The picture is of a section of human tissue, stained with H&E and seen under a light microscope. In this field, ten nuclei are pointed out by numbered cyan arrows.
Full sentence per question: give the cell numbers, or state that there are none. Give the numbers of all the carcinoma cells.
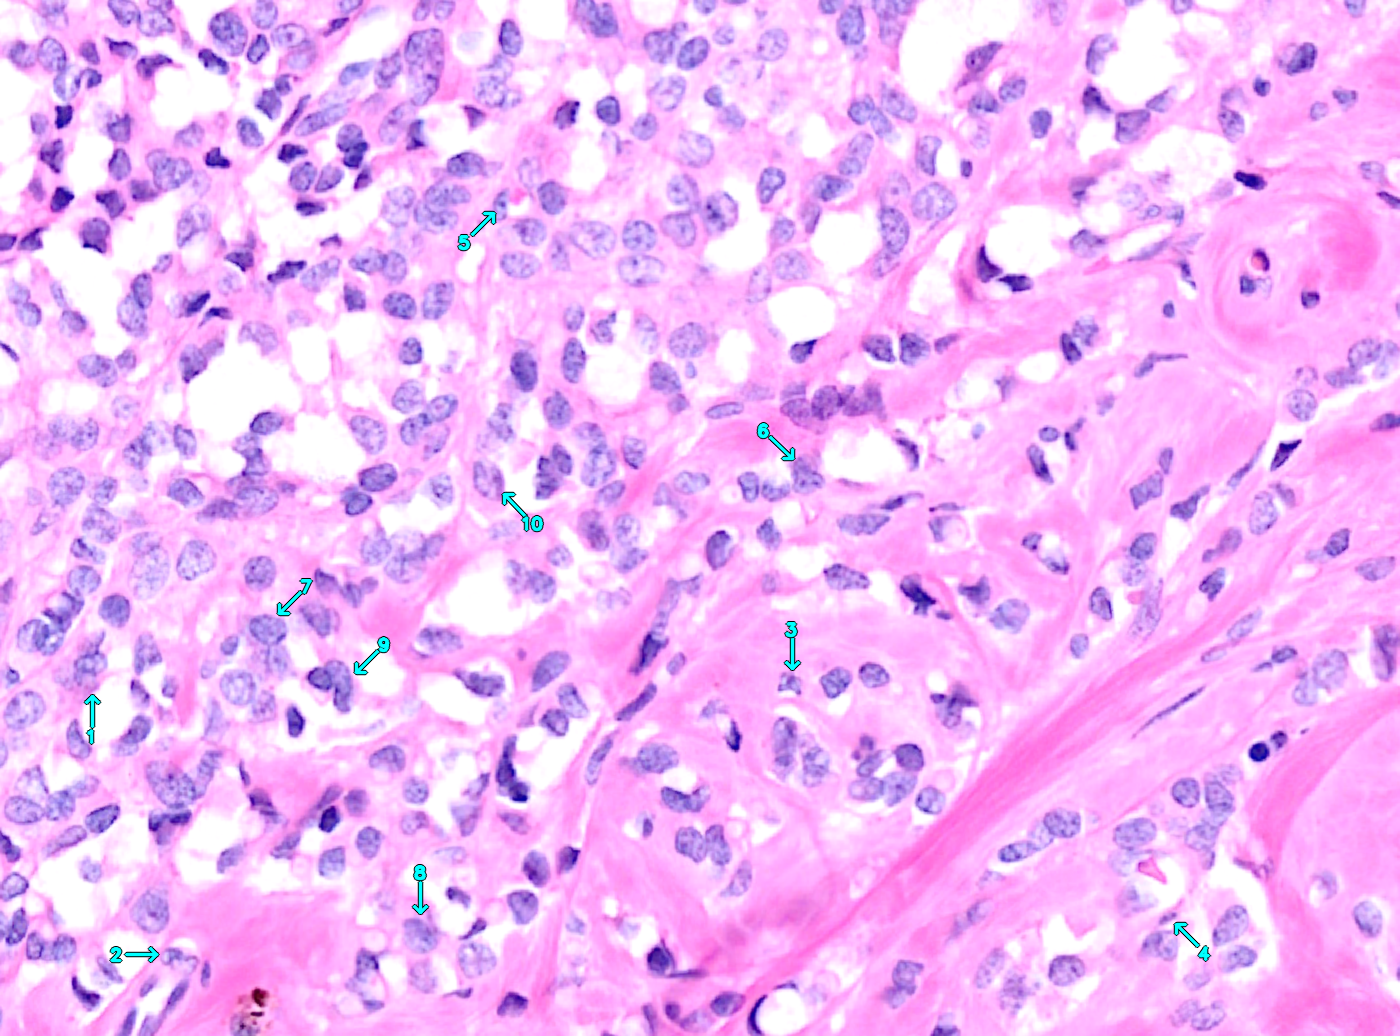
The cells with the numbers 1, 6, 7, 8, 9 and 10 are carcinoma cells.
